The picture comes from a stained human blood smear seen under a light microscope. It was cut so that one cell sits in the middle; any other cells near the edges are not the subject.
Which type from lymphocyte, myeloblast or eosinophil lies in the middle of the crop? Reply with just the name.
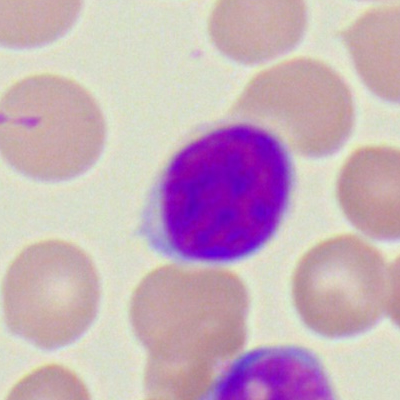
lymphocyte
